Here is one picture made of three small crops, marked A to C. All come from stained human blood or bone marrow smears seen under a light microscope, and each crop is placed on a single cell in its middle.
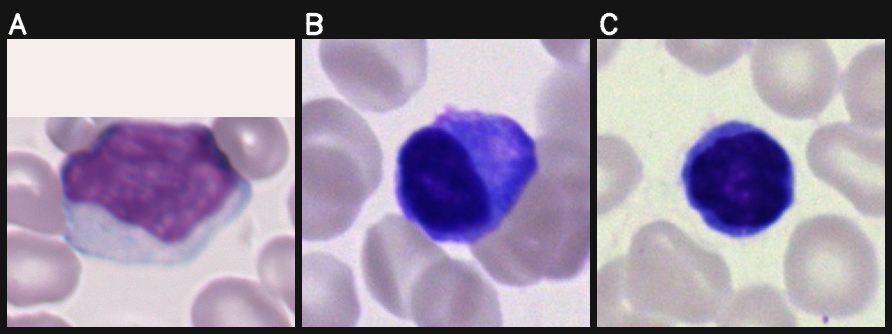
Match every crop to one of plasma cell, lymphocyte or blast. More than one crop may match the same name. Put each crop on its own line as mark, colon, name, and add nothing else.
A: blast
B: plasma cell
C: lymphocyte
